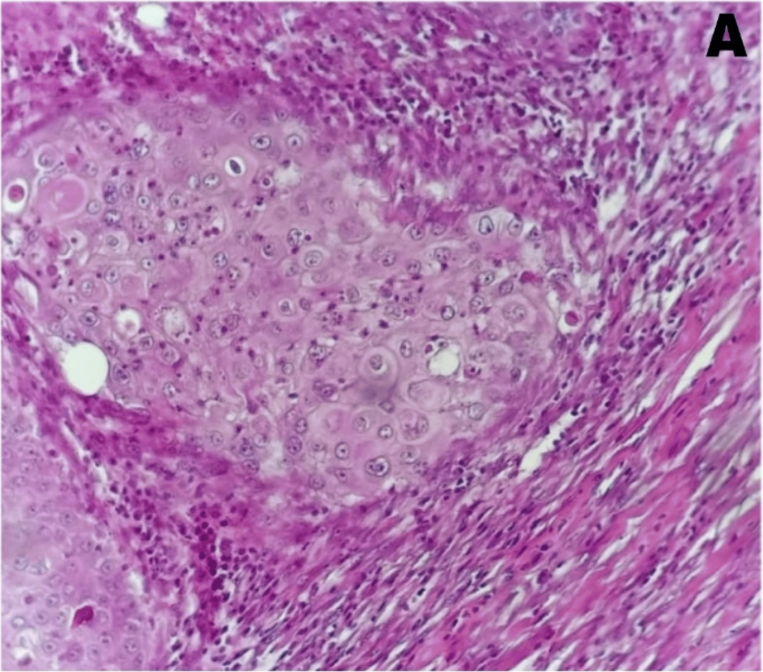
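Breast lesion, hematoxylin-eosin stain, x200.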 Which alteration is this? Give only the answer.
Squamous cell carcinoma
